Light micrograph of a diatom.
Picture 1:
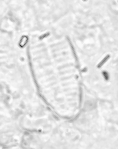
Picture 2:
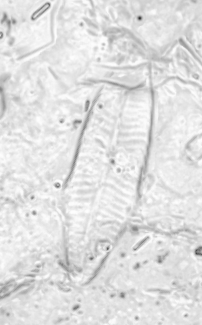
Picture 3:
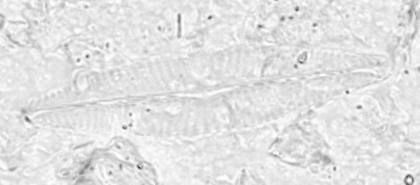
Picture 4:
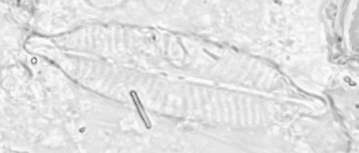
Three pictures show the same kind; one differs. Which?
Picture 1: Achnanthidium, while the others are Navicula.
